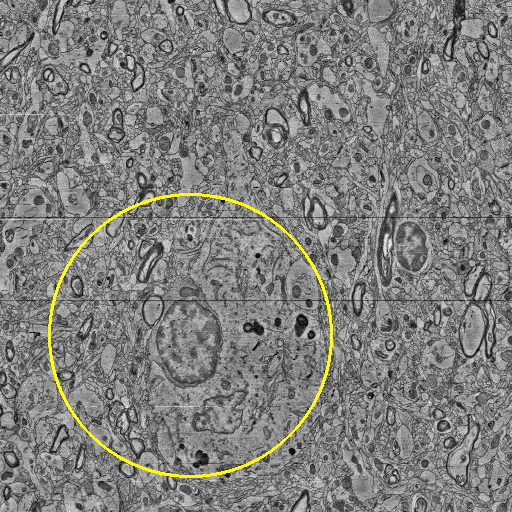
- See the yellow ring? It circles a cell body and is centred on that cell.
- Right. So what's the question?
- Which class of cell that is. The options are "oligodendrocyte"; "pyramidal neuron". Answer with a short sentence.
The centre of the ring holds an oligodendrocyte.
